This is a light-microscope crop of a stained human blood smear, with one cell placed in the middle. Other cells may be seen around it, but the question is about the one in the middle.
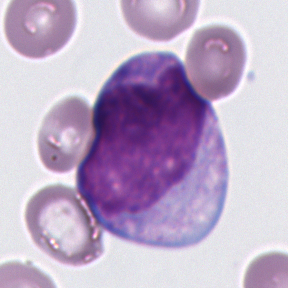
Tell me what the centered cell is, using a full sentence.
The cell that lies at the centre of the crop is an atypical promyelocyte.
